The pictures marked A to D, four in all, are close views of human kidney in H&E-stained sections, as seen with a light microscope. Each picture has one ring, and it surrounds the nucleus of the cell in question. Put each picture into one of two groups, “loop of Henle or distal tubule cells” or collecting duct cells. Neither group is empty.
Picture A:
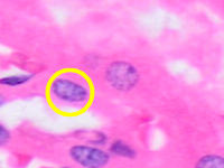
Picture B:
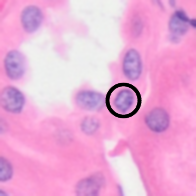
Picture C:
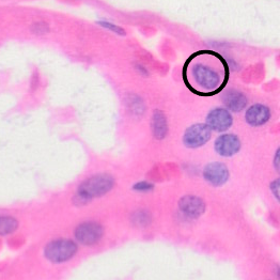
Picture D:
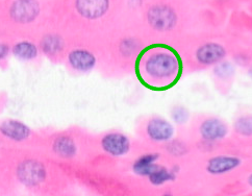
A: collecting duct cell
B: collecting duct cell
C: collecting duct cell
D: loop of Henle or distal tubule cell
